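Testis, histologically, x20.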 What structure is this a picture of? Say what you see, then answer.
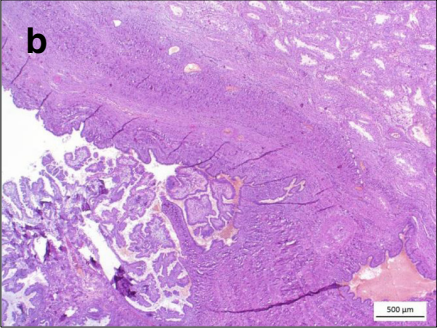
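Branching epithelial fronds lie in the lower left. A broad band of pink fibrous tissue runs along the top and right. That points to this answer: papillary structures encased by a fibrous wall.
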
